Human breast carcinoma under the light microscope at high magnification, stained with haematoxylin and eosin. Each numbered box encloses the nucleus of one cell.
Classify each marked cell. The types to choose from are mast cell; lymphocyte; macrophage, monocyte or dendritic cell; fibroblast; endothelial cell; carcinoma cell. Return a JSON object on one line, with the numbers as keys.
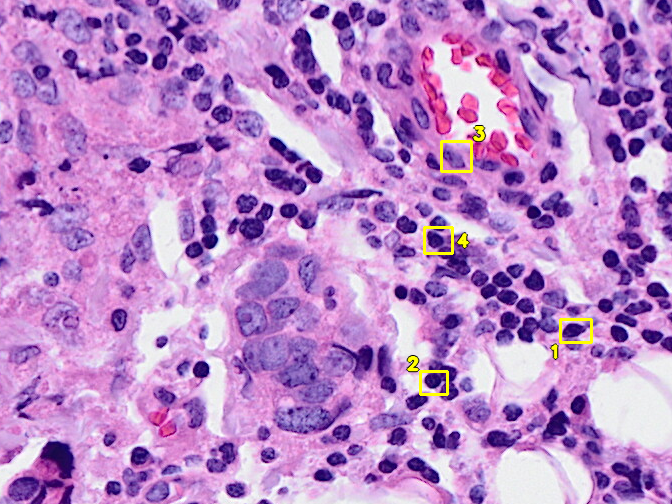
{"1": "lymphocyte", "2": "lymphocyte", "3": "endothelial cell", "4": "lymphocyte"}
